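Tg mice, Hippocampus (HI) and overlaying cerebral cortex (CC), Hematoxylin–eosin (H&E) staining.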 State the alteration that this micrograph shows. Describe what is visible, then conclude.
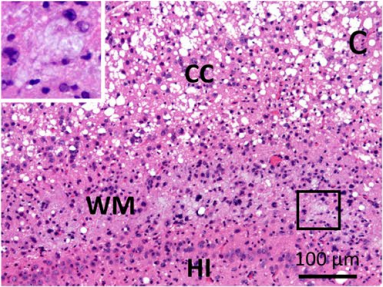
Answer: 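Large and confluent vacuoles. The upper tissue is riddled with many clear round holes. Many holes are large and run into one another.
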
